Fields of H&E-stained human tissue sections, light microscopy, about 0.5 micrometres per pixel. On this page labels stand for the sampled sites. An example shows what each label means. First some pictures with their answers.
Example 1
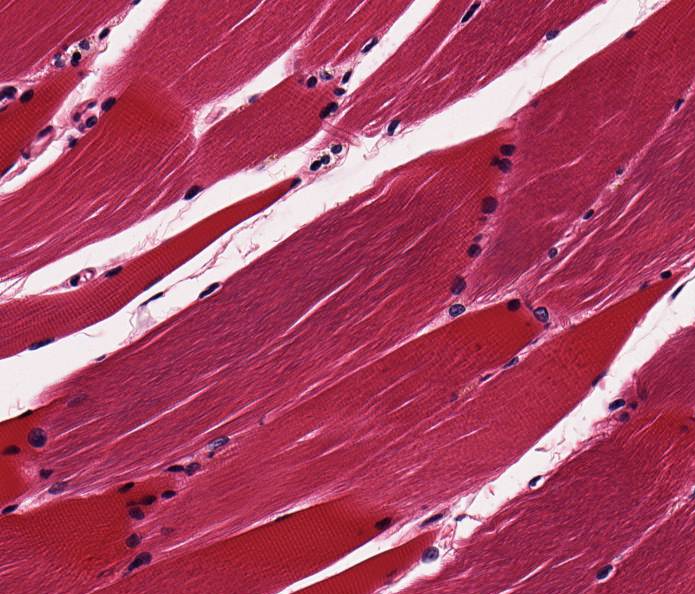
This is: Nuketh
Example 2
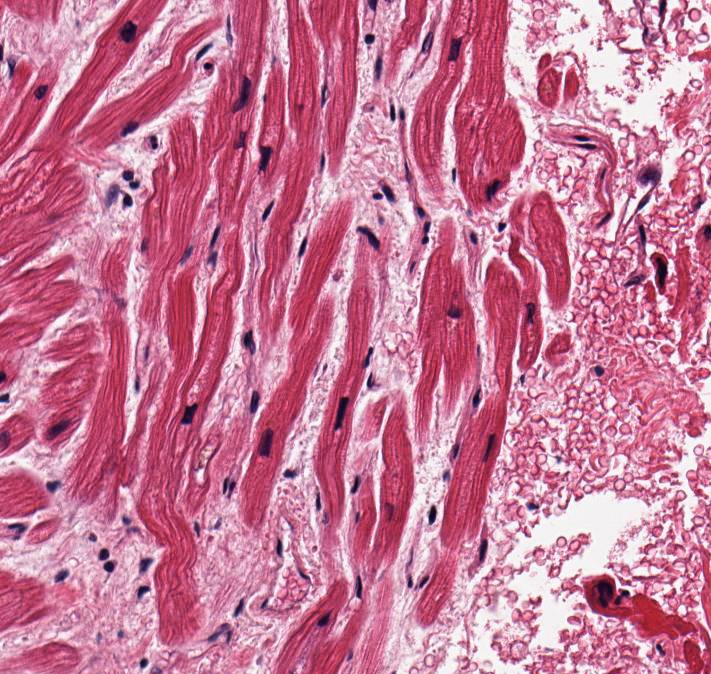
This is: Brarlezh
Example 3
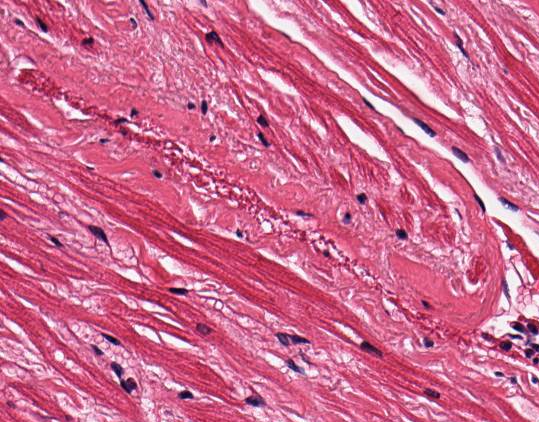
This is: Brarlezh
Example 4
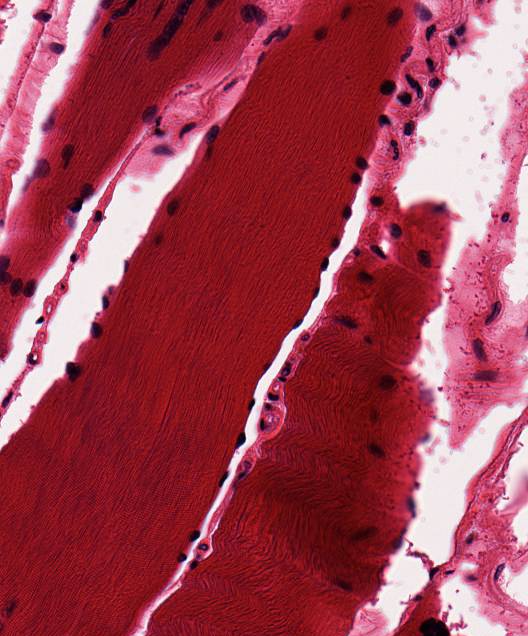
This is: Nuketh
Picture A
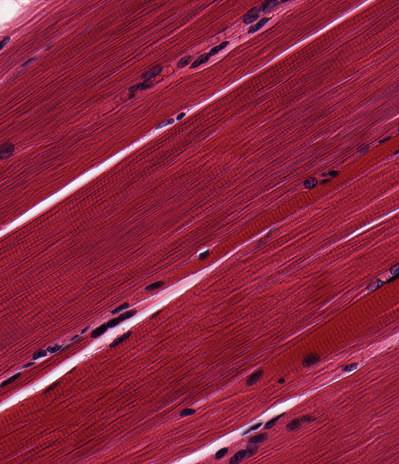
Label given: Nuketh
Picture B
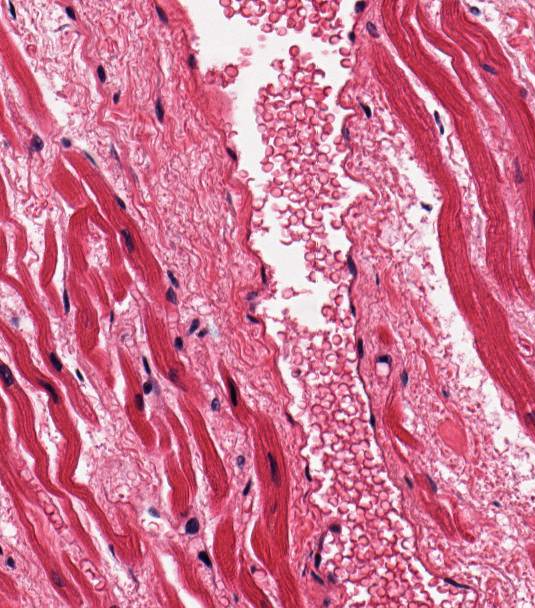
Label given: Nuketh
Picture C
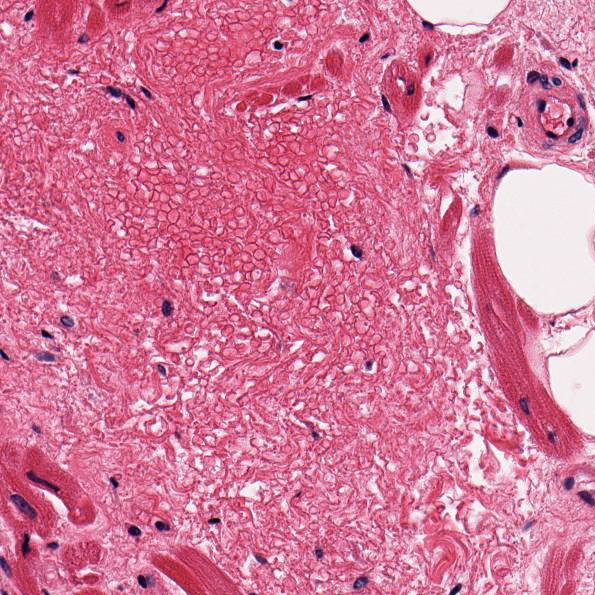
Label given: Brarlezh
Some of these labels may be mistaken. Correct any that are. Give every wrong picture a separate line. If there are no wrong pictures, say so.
B: not Nuketh but Brarlezh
